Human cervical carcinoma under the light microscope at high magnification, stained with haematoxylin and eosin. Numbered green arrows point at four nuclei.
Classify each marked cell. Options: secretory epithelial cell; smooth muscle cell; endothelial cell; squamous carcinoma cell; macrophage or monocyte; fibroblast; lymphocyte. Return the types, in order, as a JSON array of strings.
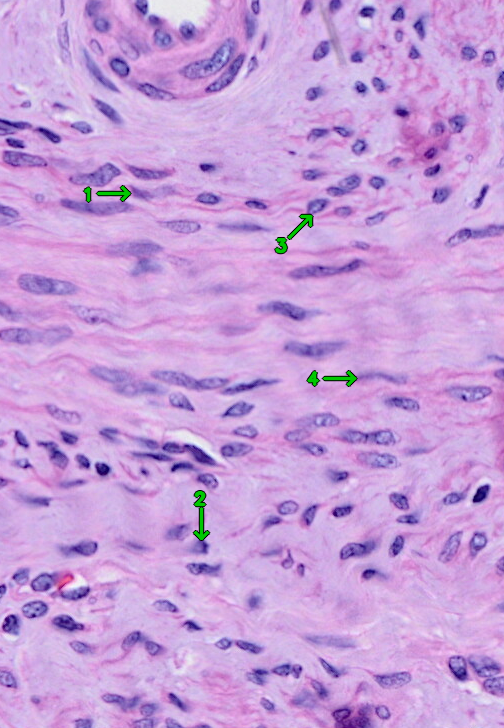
["smooth muscle cell", "fibroblast", "smooth muscle cell", "smooth muscle cell"]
